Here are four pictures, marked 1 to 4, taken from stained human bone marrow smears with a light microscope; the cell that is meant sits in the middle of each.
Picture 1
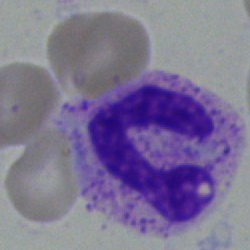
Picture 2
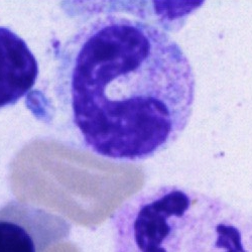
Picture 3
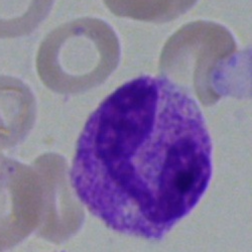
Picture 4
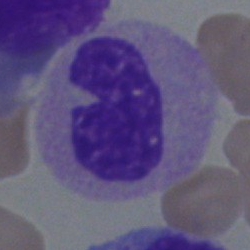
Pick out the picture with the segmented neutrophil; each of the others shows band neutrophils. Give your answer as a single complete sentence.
It is picture 3 that shows the segmented neutrophil.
